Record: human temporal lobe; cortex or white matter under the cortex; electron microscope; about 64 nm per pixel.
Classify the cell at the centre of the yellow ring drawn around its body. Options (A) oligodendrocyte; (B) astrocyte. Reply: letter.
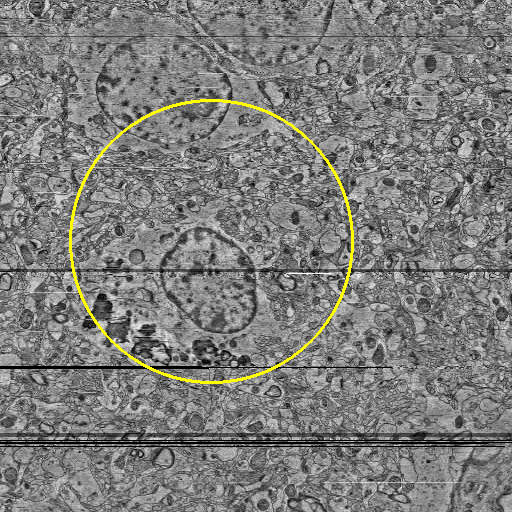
B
